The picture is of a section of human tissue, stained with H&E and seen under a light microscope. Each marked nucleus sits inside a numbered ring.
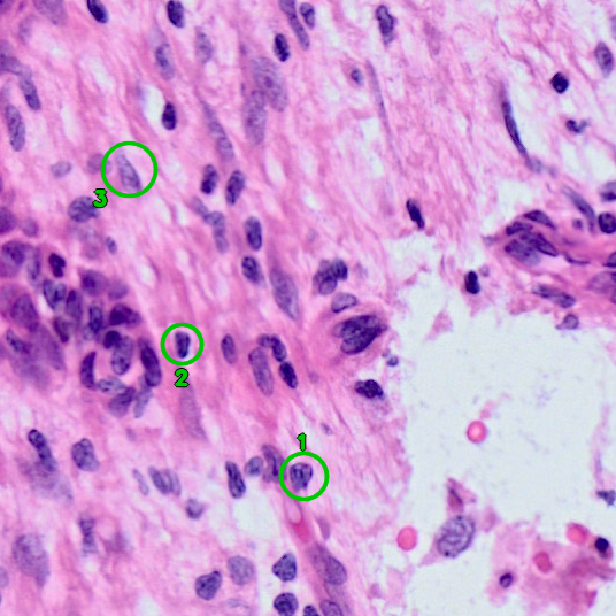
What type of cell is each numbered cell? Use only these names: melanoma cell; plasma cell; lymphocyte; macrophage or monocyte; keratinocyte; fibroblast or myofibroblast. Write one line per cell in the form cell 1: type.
cell 1: lymphocyte
cell 2: lymphocyte
cell 3: fibroblast or myofibroblast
